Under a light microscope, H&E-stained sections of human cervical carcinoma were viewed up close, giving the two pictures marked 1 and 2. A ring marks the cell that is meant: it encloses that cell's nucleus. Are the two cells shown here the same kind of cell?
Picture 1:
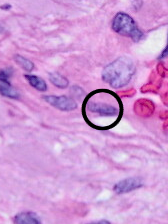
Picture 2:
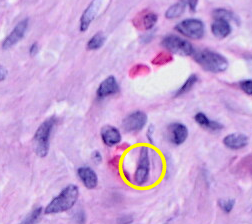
yes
